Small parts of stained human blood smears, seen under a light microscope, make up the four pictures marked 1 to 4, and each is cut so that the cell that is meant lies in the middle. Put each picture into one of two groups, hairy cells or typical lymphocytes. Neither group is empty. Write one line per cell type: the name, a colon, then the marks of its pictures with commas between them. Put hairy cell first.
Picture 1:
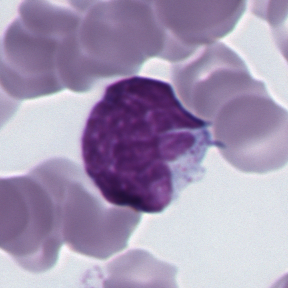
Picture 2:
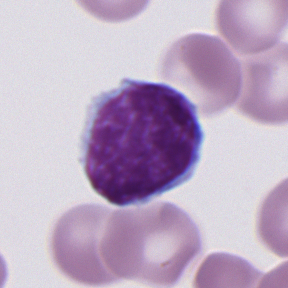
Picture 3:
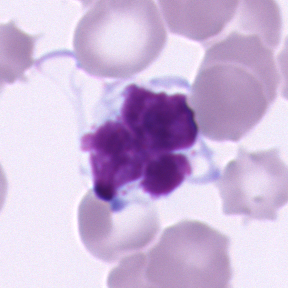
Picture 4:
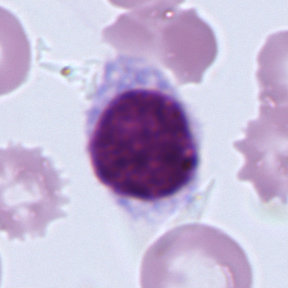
hairy cell: 4
typical lymphocyte: 1, 2, 3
